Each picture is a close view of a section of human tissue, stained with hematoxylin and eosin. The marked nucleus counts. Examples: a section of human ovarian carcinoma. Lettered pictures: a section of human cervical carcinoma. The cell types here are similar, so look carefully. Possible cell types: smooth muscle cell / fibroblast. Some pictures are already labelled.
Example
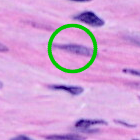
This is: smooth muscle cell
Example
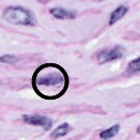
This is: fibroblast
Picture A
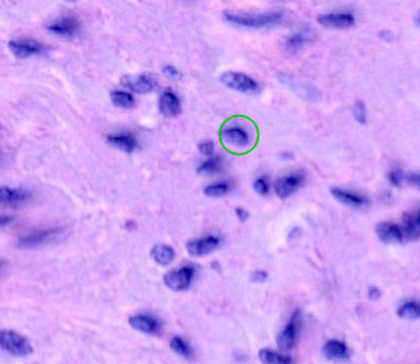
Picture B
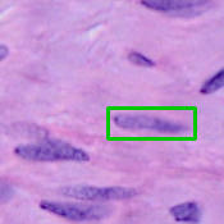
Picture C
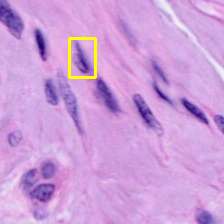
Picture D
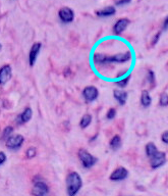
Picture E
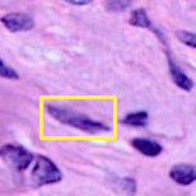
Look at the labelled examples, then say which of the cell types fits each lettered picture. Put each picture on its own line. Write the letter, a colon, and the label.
A: fibroblast
B: fibroblast
C: fibroblast
D: smooth muscle cell
E: fibroblast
